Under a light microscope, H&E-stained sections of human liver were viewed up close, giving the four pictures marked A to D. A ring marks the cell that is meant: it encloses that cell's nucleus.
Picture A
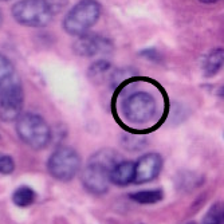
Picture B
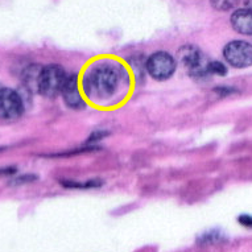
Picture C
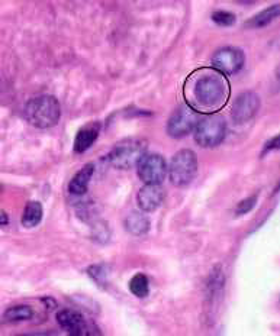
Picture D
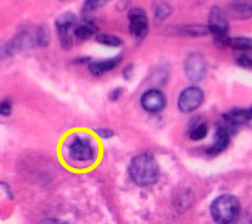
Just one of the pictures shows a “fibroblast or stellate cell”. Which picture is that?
D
